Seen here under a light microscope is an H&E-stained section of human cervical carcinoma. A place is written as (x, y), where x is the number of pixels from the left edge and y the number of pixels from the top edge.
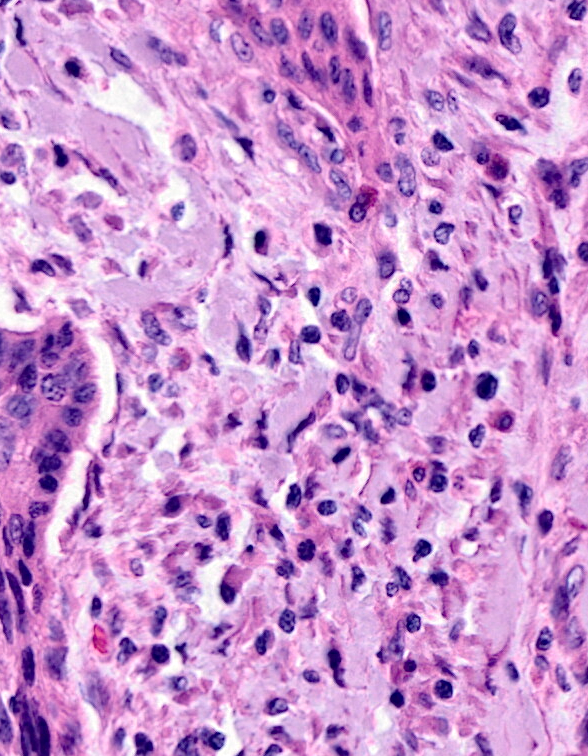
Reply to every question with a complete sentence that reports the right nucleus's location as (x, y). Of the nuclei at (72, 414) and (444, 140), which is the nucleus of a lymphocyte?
The pair contains one nucleus of a lymphocyte, namely the one at (444, 140).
